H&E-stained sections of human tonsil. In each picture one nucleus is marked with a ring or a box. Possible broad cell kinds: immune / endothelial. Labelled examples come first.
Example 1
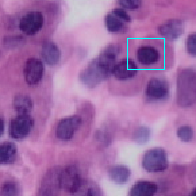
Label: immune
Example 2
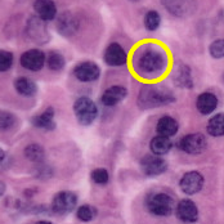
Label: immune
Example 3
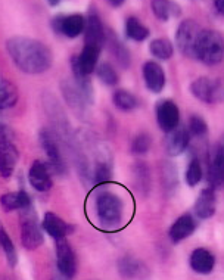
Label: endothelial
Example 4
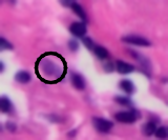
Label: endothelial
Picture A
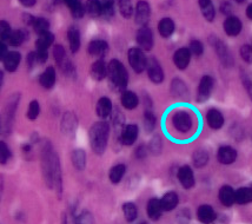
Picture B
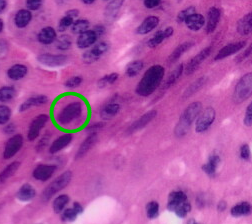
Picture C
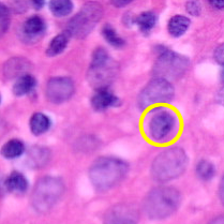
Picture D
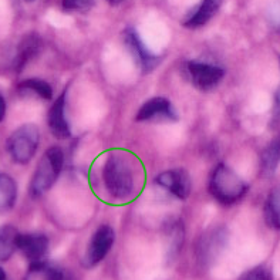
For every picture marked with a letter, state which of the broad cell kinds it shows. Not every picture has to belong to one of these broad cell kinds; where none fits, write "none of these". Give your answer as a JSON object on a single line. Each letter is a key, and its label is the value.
{"A": "immune", "B": "none of these", "C": "none of these", "D": "none of these"}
